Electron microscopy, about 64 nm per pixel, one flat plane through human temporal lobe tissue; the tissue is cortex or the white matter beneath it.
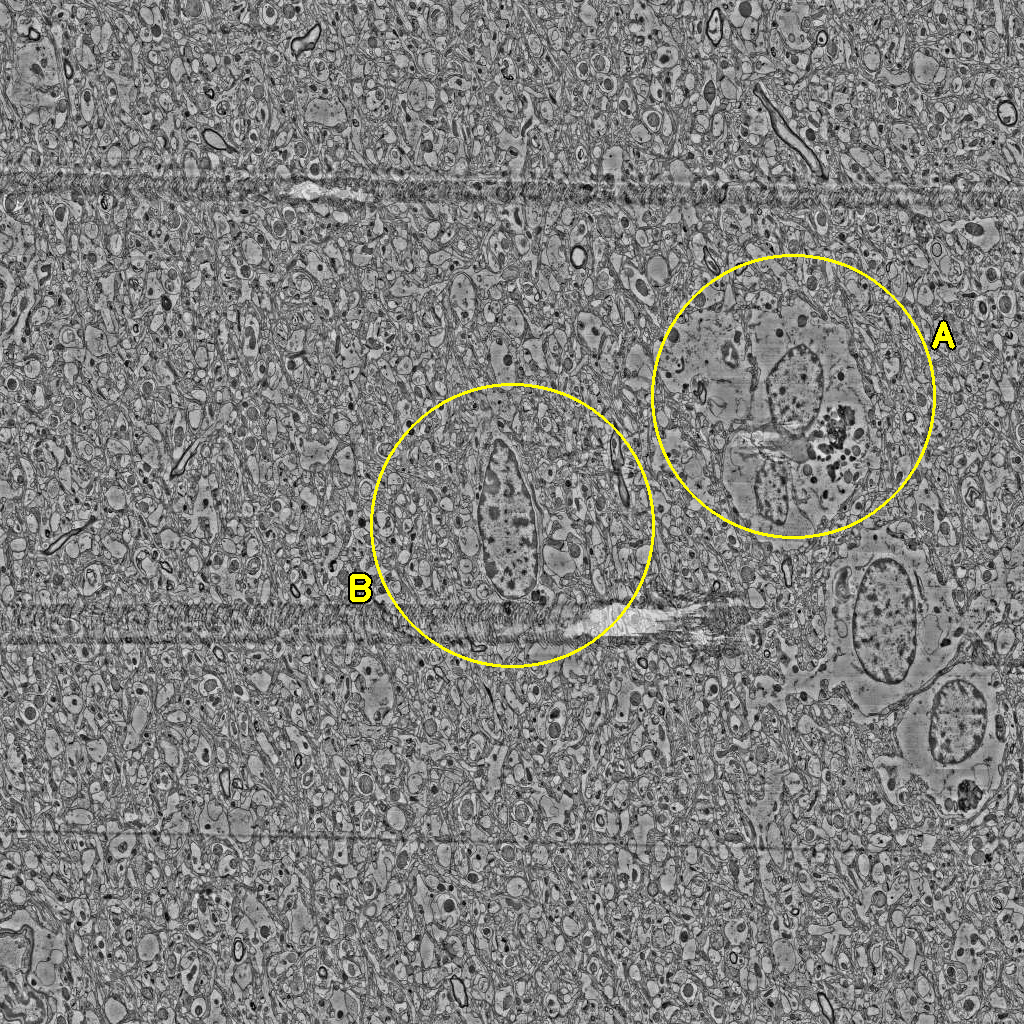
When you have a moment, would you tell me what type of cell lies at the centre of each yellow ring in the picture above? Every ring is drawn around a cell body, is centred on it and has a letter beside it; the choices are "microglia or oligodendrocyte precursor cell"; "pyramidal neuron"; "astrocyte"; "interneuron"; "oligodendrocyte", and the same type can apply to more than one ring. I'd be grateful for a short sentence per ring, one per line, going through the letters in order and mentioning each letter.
The cell at the centre of ring A is an astrocyte.
The cell at the centre of ring B is a microglial cell or oligodendrocyte precursor cell.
